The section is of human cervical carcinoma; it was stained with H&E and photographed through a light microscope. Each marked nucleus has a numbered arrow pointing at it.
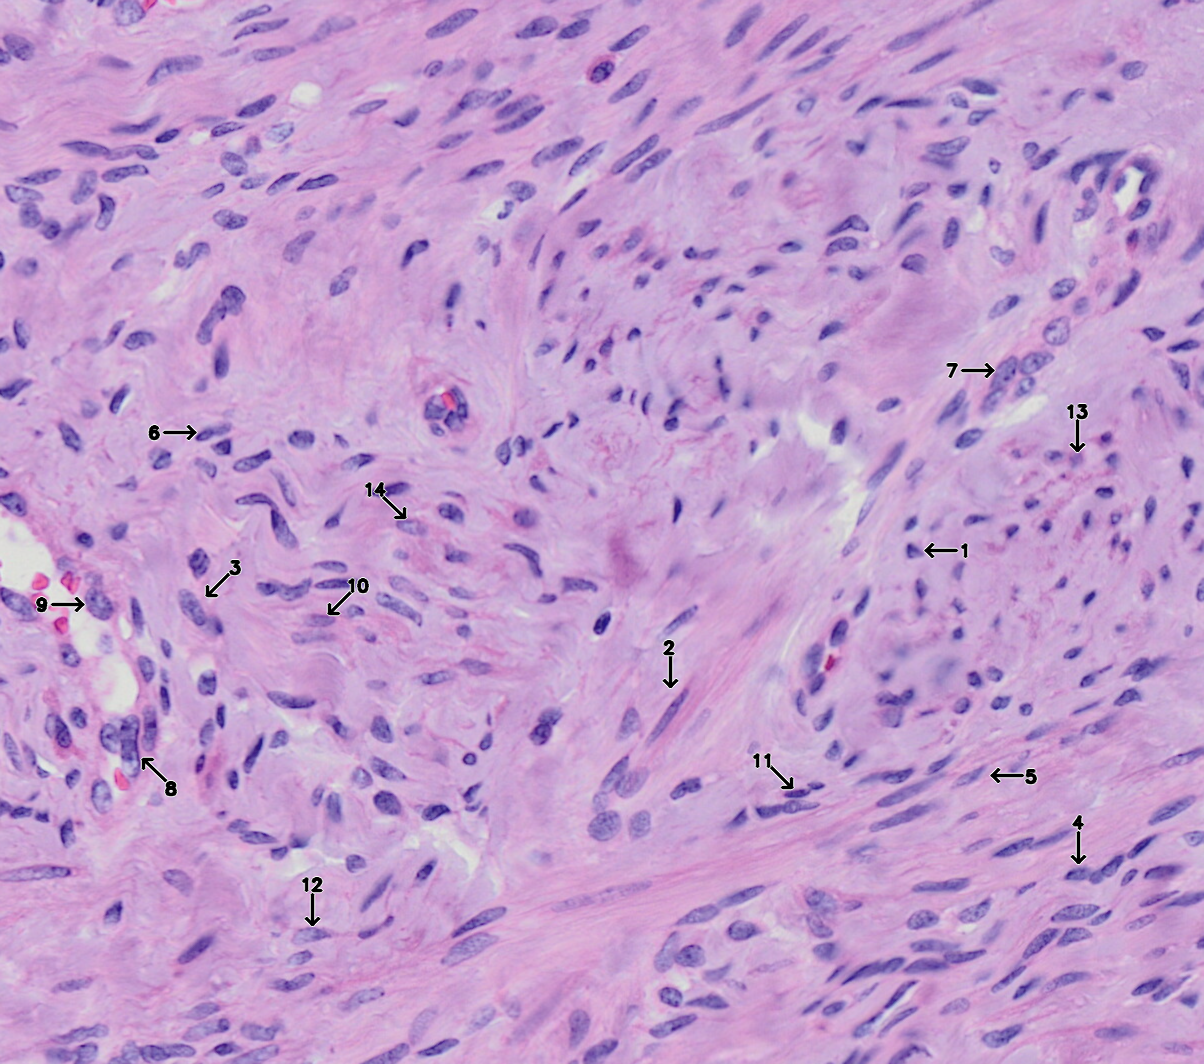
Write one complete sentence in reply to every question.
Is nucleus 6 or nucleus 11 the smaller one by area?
The smaller nucleus is 11, and 6 covers roughly 2 times its area.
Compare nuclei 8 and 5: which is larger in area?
The larger nucleus is 8, at roughly 4 times the area of 5.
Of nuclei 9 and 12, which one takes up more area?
Nucleus 9 covers more area, about 1.5 times as much as nucleus 12.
